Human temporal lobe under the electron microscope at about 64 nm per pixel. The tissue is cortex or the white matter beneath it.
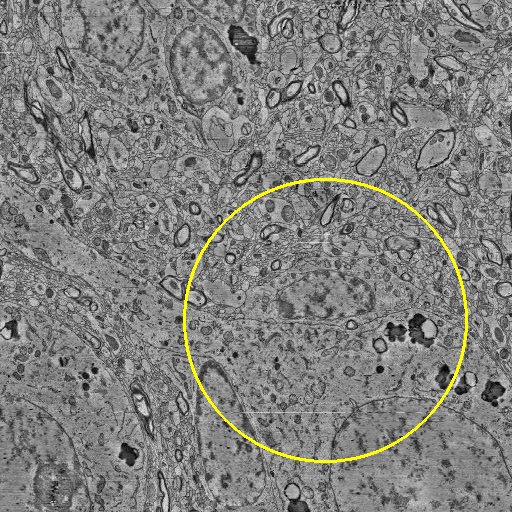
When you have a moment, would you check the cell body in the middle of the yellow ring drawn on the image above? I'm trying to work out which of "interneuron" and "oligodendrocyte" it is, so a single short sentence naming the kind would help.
This cell body belongs to an interneuron.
